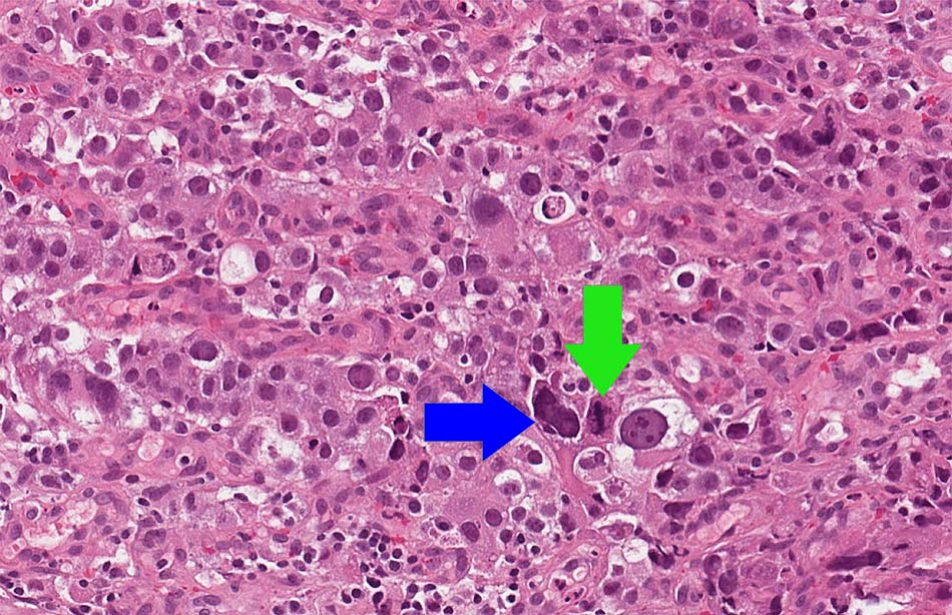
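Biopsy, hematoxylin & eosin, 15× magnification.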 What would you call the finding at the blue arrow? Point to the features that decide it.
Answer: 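Nuclear pleomorphism. The blue arrow points to a cell with a very large, irregular, deeply dark-staining nucleus. That nucleus is much larger and darker than the nuclei of the neighbouring cells.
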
